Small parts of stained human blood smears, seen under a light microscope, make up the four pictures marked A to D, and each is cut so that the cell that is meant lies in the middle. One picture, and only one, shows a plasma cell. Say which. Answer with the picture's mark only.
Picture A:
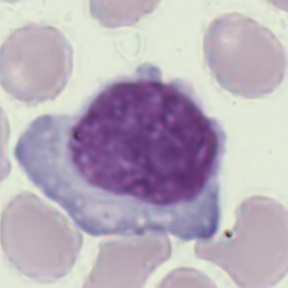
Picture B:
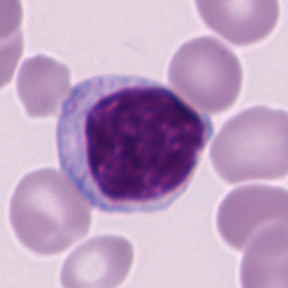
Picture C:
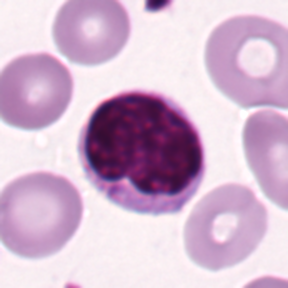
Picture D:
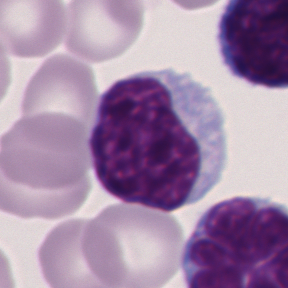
A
